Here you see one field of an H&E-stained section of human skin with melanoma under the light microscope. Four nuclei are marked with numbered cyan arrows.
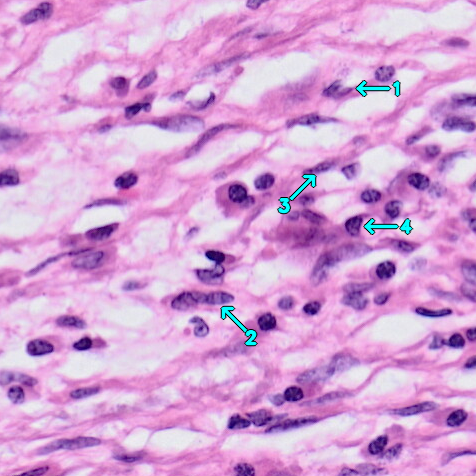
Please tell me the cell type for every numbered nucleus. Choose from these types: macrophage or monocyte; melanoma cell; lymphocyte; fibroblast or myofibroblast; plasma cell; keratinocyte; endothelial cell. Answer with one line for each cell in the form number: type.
1: fibroblast or myofibroblast
2: macrophage or monocyte
3: fibroblast or myofibroblast
4: plasma cell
